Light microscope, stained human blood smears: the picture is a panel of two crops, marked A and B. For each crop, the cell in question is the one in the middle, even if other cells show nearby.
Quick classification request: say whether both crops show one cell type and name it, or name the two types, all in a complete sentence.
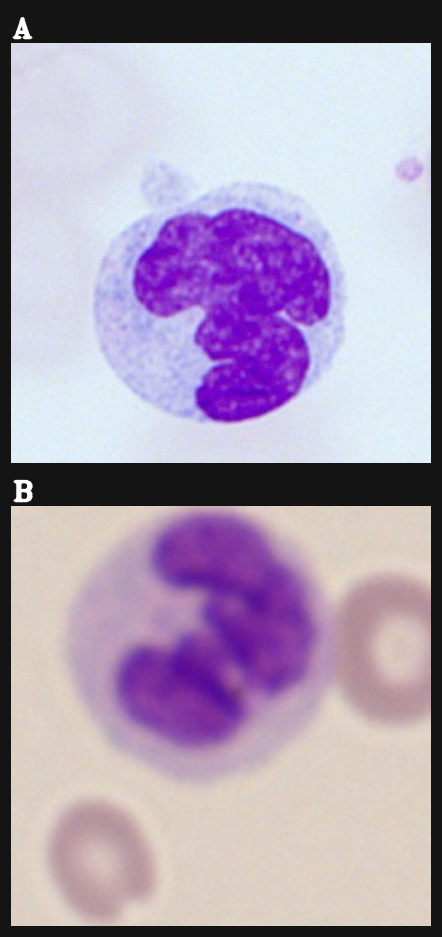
Yes, the central cells of both crops are monocytes.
